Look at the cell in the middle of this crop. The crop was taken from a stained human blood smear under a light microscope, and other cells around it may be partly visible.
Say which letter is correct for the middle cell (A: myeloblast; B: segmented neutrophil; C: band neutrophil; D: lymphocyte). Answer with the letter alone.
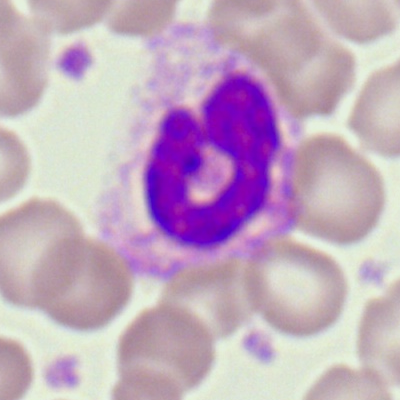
C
